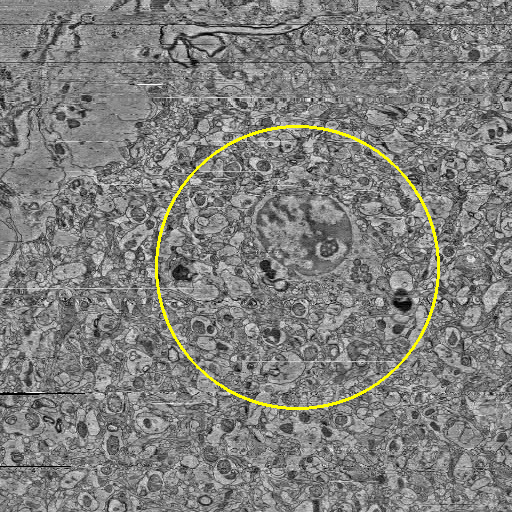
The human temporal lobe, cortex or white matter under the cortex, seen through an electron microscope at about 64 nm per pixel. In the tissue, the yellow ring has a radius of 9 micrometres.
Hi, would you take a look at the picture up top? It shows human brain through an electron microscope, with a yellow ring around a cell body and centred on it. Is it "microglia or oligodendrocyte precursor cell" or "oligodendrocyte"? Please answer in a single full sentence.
The best fit for the cell in the middle of the ring is an oligodendrocyte, I reckon.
